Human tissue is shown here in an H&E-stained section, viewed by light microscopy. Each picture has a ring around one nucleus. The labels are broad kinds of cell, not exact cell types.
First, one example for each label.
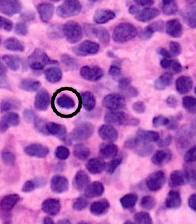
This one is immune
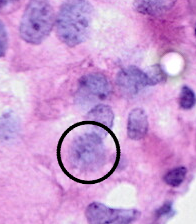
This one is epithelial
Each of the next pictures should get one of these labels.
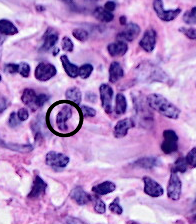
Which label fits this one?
immune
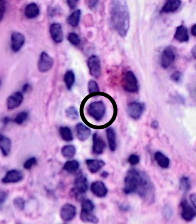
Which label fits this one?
immune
